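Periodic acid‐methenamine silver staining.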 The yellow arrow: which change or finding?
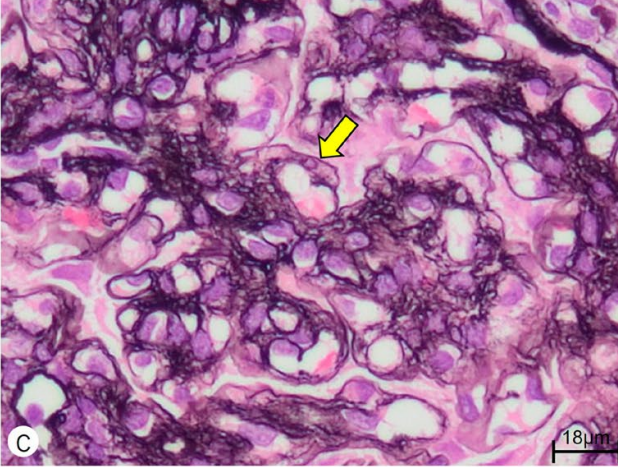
double contours of the glomerular basement membranes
